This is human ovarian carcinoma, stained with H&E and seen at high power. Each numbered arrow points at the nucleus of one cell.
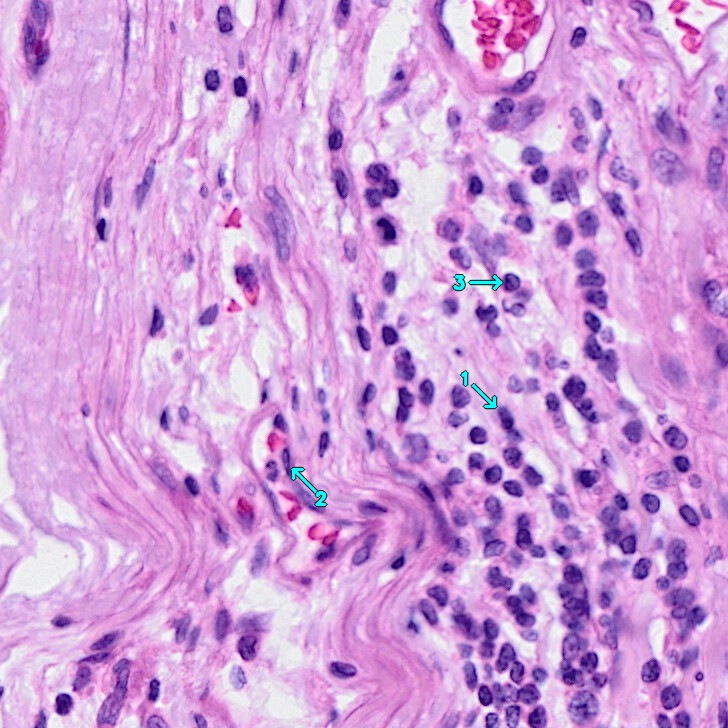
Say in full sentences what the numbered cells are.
Cell 1 is a lymphocyte, cell 2 is an endothelial cell and cell 3 is a lymphocyte.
